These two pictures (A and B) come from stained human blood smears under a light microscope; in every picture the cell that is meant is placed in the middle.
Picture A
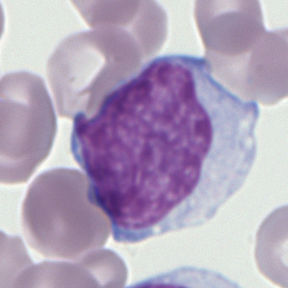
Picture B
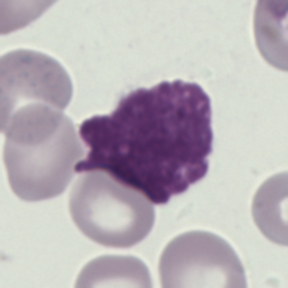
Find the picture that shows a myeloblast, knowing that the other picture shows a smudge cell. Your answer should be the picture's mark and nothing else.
A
